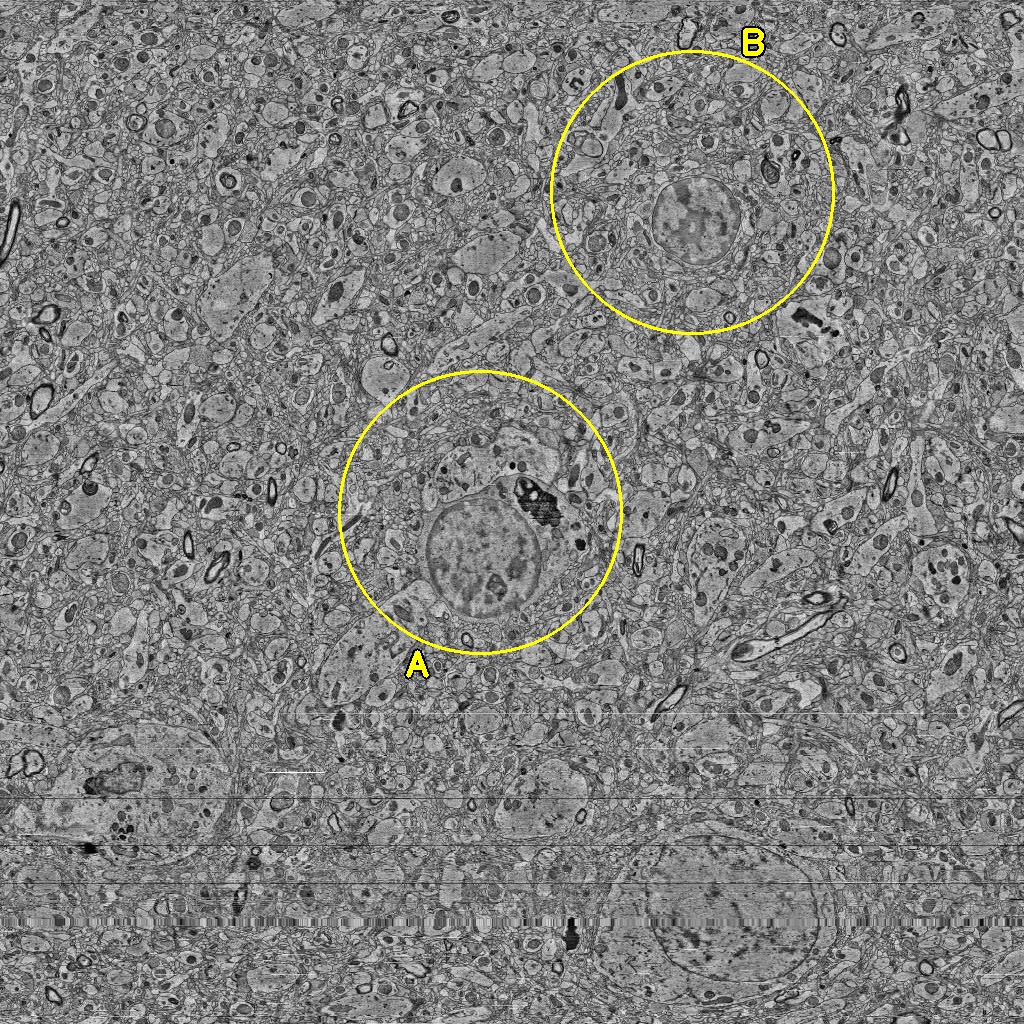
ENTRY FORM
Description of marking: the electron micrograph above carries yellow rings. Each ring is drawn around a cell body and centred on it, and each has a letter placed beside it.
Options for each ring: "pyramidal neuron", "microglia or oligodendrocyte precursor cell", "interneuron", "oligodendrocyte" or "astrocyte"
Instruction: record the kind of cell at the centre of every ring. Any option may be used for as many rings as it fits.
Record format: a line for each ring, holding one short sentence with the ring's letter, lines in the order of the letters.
Ring A surrounds the cell body of an oligodendrocyte.
Ring B surrounds the cell body of a microglial cell or oligodendrocyte precursor cell.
